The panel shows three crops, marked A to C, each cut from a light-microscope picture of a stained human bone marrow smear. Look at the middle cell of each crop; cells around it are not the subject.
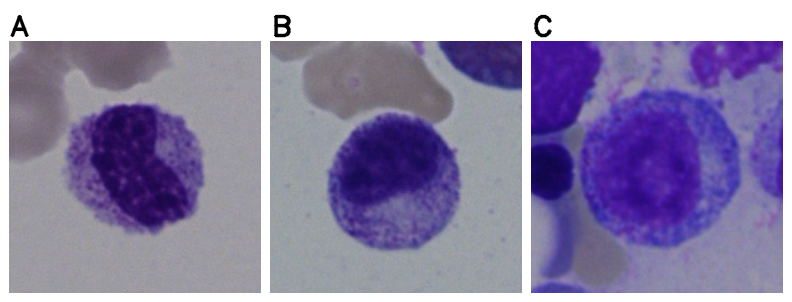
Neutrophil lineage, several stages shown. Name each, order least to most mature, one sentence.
Maturity rises in the sequence crop C (a promyelocyte), crop B (a myelocyte) and crop A (a band neutrophil).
